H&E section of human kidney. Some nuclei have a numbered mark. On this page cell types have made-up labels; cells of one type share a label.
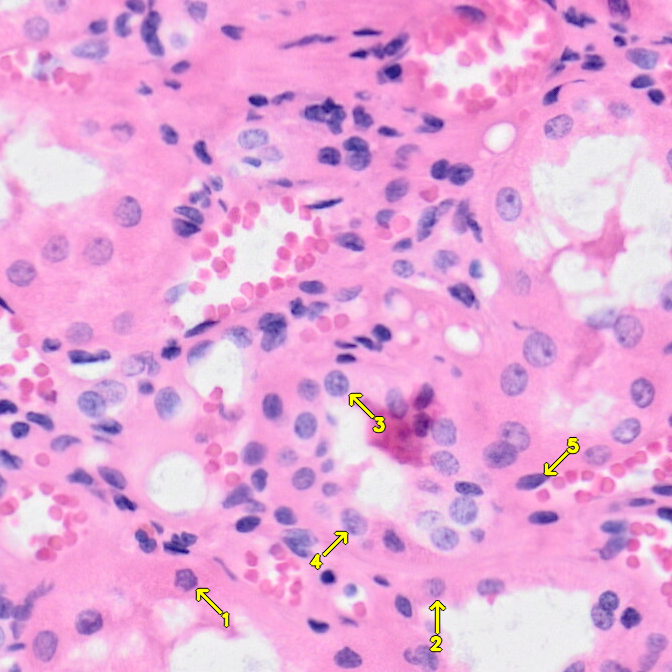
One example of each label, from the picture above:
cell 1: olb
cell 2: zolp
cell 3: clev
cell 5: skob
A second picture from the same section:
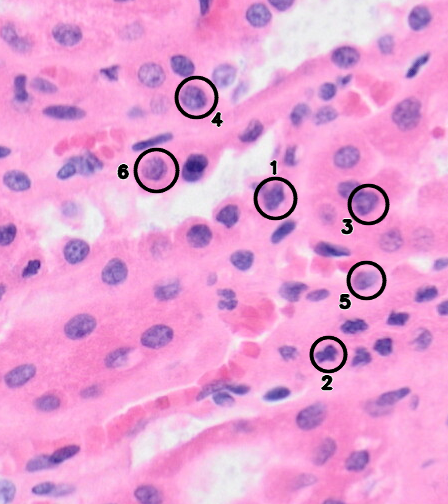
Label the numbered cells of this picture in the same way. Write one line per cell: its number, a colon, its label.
1: zolp
2: zolp
3: olb
4: zolp
5: skob
6: zolp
